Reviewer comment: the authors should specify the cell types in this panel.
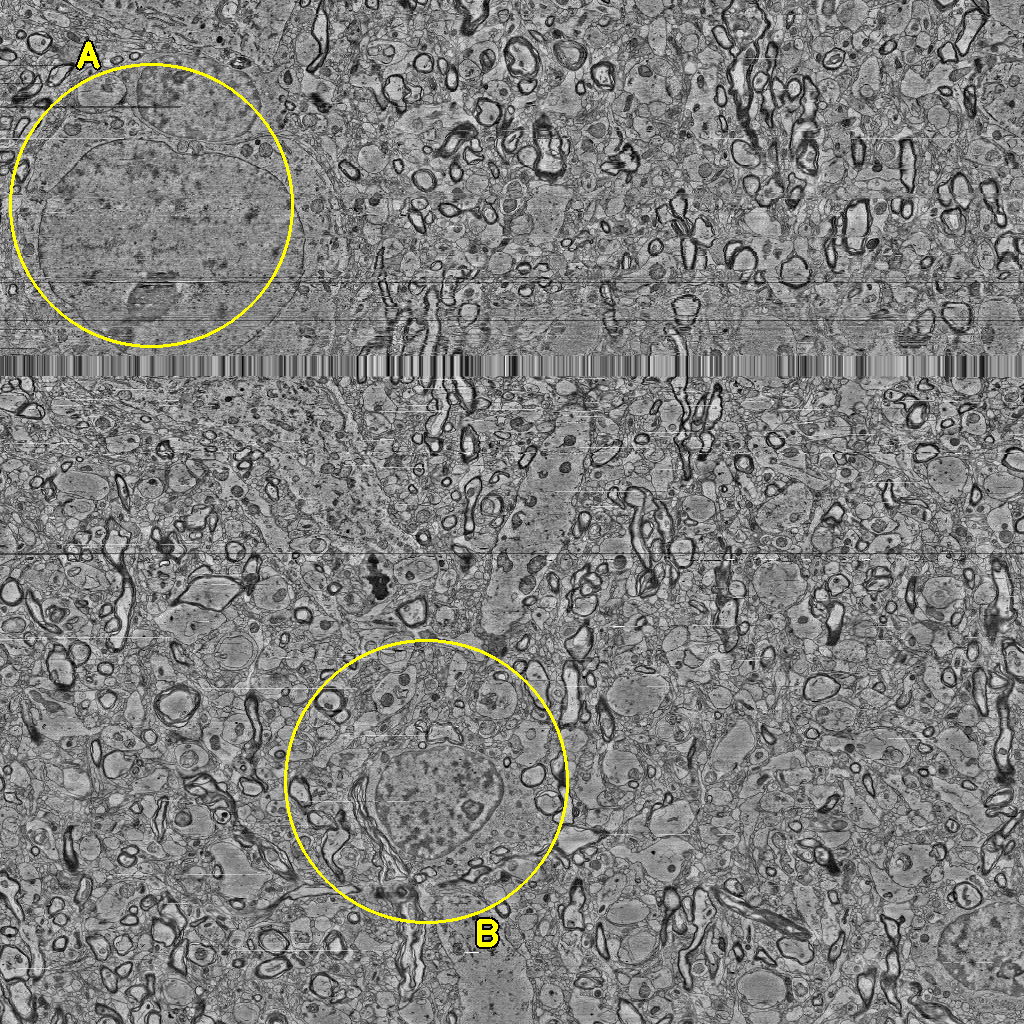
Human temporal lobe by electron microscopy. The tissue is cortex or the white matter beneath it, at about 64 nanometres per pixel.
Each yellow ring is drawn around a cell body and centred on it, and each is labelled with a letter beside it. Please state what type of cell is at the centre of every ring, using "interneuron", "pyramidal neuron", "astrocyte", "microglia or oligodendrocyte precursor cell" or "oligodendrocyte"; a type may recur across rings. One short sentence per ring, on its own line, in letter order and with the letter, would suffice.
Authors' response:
The cell centred within ring A is a pyramidal neuron.
The cell centred within ring B is an oligodendrocyte.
